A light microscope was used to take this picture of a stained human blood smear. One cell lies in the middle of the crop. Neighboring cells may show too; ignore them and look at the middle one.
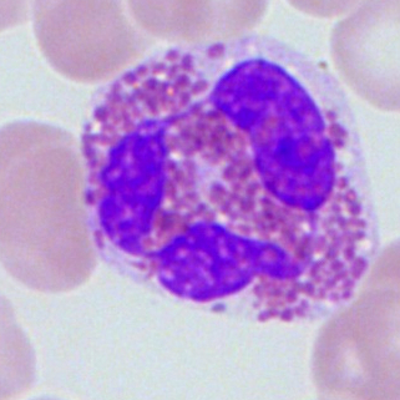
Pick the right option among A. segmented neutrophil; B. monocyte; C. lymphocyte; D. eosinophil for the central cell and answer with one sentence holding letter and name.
Answer key: option D, the middle cell being an eosinophil.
